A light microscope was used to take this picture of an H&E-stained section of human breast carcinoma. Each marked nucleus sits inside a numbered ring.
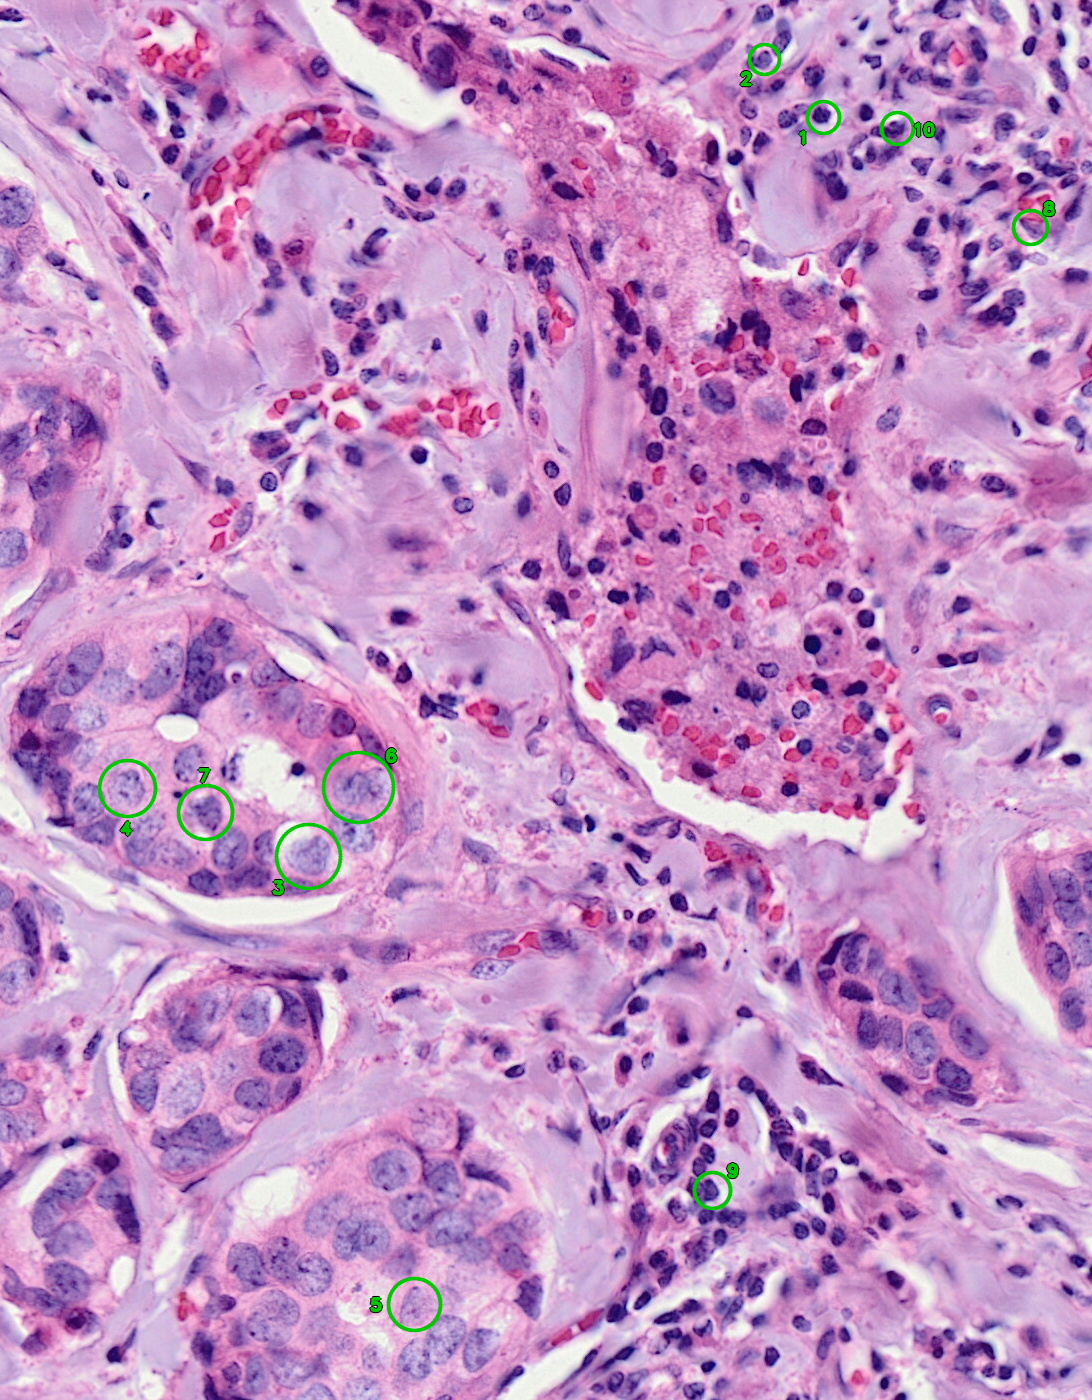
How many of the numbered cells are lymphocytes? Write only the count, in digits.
4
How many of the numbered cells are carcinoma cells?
5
